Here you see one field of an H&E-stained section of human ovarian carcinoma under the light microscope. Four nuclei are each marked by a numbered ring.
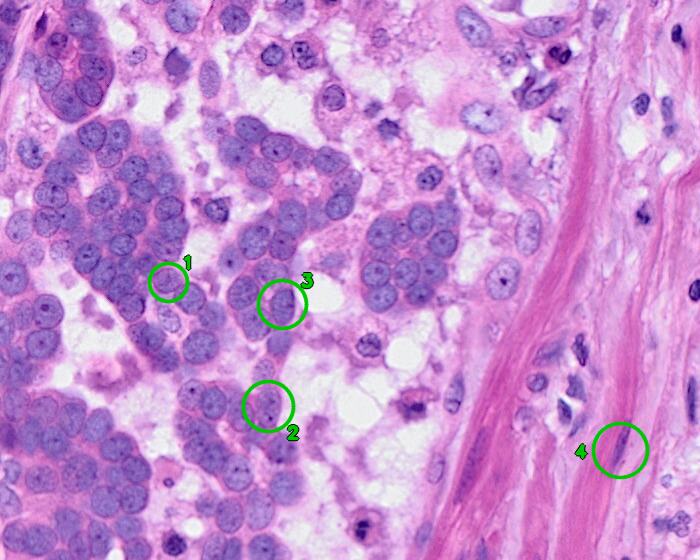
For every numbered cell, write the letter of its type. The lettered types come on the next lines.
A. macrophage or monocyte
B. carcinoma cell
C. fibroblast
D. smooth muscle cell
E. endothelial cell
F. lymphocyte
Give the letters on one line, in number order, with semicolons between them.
B; B; B; D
